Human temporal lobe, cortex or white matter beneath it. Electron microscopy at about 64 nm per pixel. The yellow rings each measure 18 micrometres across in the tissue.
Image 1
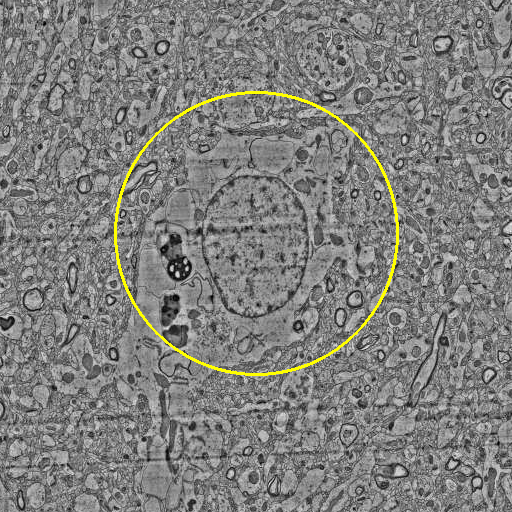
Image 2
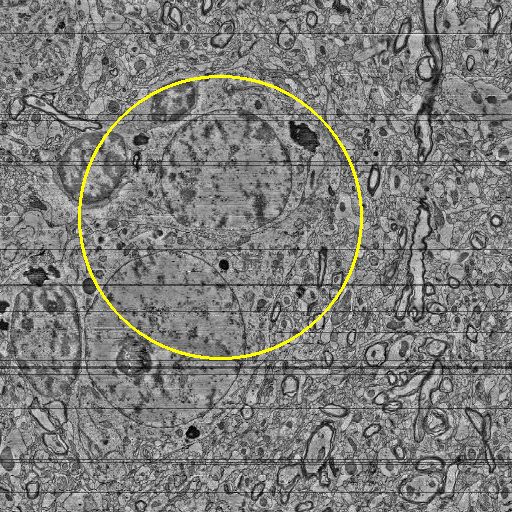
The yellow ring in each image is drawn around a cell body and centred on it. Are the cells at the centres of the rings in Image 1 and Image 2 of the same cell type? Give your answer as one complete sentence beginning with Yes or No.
No, the two cells are of two separate types.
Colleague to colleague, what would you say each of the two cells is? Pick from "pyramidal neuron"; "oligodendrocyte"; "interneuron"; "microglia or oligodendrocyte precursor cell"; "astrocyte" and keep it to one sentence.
The cell in the first picture is an astrocyte; the second picture's cell is an interneuron.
